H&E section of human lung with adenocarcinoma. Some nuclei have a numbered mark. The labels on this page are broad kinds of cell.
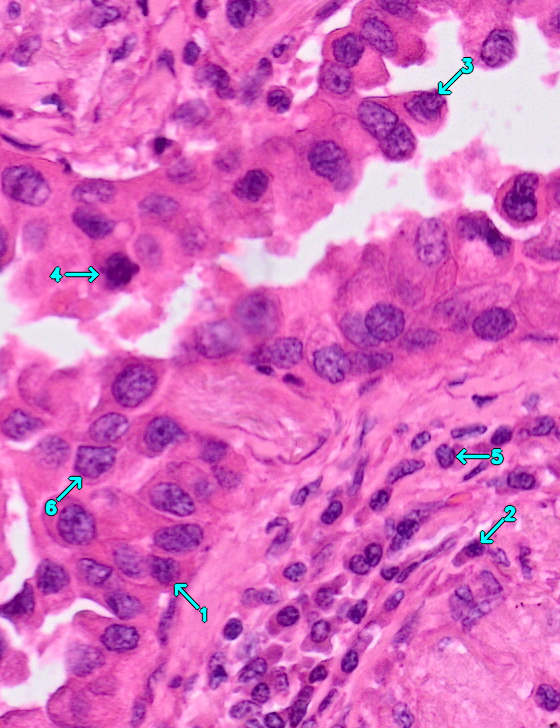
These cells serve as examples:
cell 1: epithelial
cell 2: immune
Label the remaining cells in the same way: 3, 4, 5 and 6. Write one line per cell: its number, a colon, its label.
3: epithelial
4: epithelial
5: immune
6: epithelial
